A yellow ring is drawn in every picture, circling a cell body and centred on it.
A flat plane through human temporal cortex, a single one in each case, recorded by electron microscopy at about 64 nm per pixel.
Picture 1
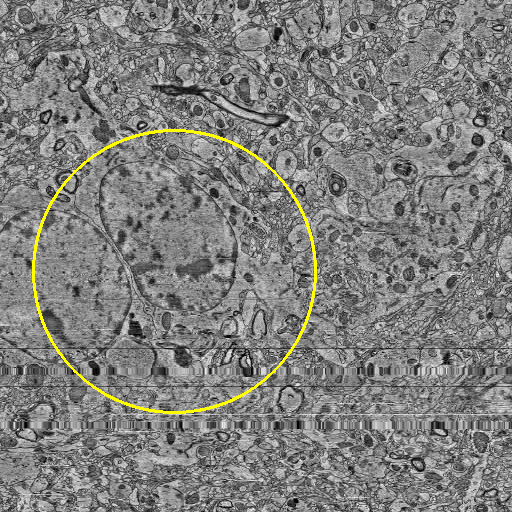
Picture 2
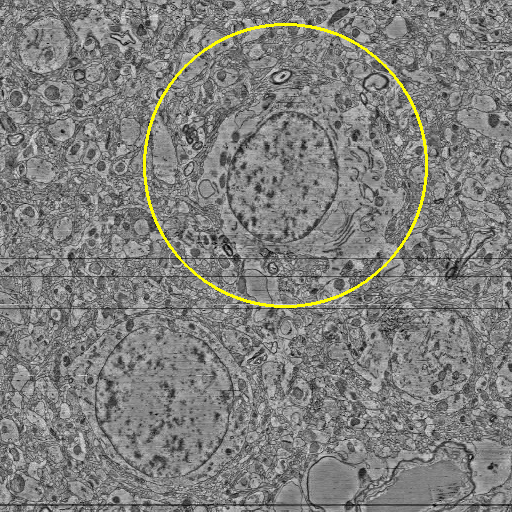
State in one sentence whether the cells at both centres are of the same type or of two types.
The cells at the two ring centres, one per picture, are of the same type.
